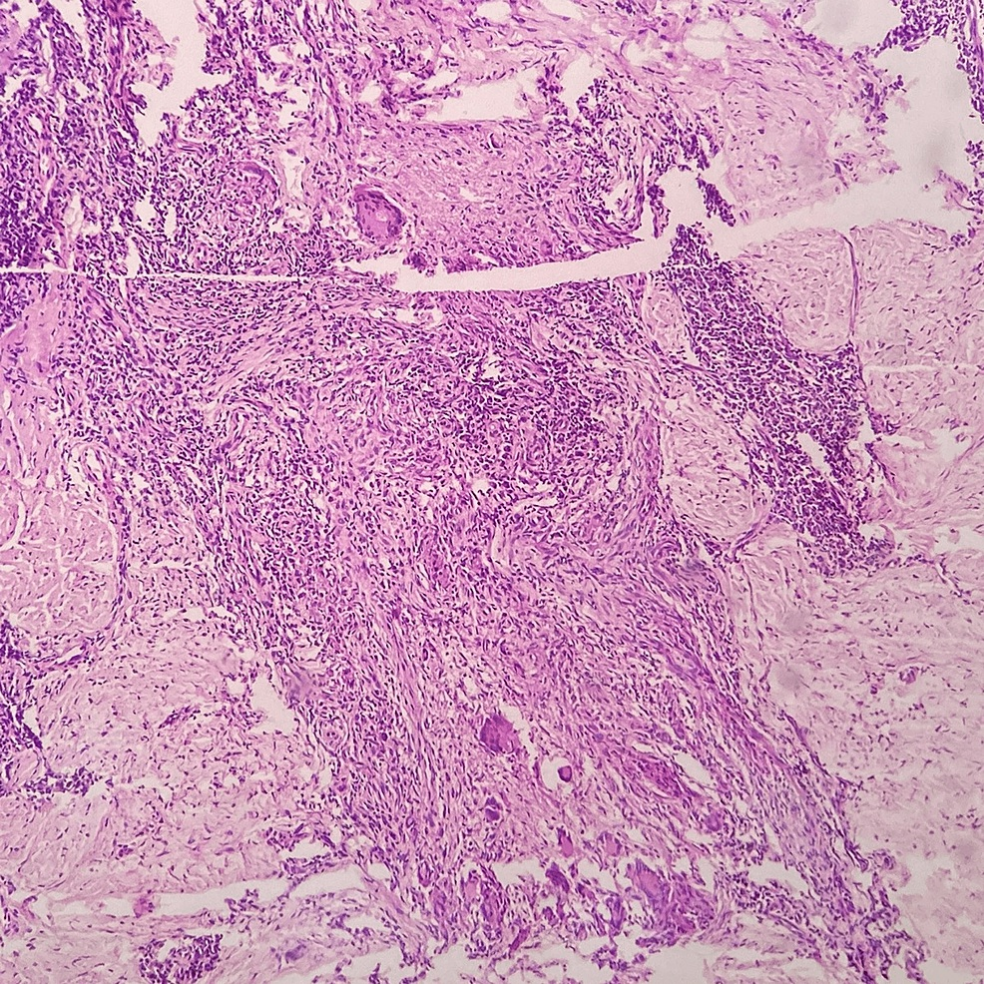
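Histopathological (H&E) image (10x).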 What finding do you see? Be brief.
Dense infiltrate.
